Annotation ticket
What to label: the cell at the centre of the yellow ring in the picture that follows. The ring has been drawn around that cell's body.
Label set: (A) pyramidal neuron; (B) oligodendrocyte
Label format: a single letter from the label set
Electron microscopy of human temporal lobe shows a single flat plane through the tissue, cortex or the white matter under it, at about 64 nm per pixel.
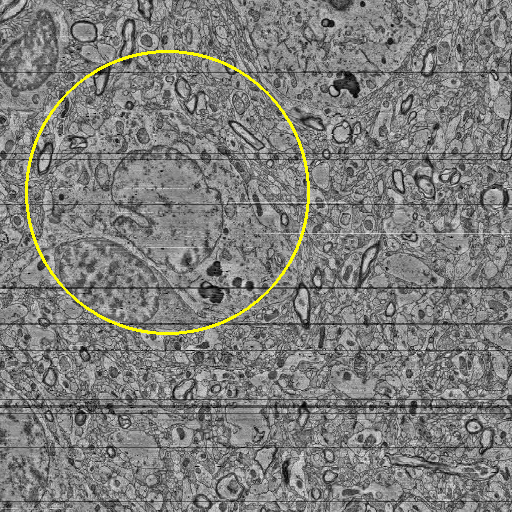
A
